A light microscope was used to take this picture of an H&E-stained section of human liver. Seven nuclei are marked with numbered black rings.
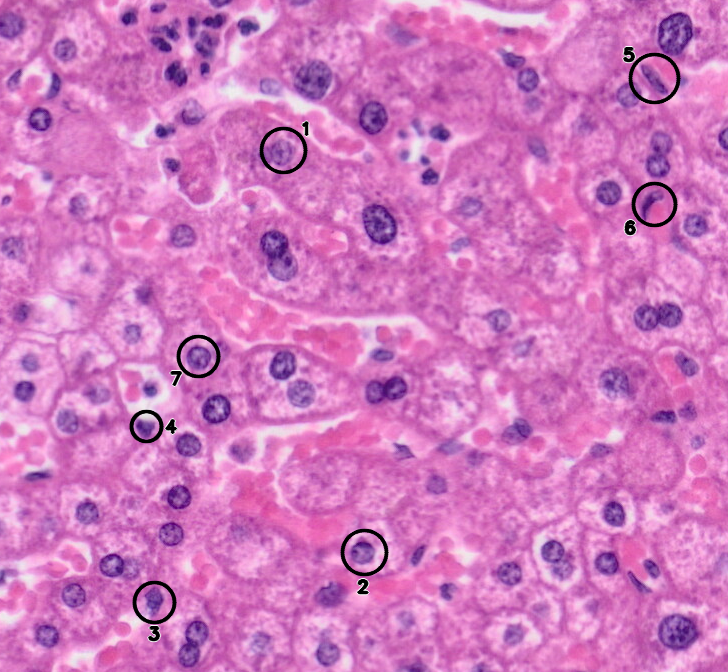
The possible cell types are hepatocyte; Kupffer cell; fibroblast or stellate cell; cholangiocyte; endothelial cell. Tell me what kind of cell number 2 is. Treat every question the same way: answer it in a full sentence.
Corresponding to a hepatocyte is the cell labelled 2.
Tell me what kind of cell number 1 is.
The cell carrying label 1 is identified as a hepatocyte.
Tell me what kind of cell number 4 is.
In this section, the cell numbered 4 is a fibroblast or stellate cell.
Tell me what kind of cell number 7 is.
Number 7 among the marked cells is a hepatocyte.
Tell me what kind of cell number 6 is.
The nucleus with number 6 is that of an endothelial cell.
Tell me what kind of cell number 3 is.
The cell identified by the number 3 is a fibroblast or stellate cell.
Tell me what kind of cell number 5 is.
The cell pointed out by number 5 is a Kupffer cell.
